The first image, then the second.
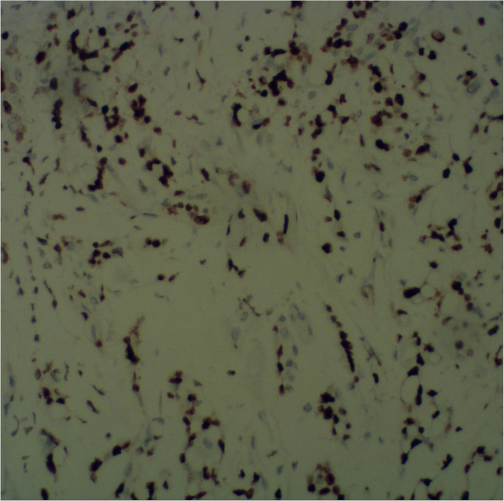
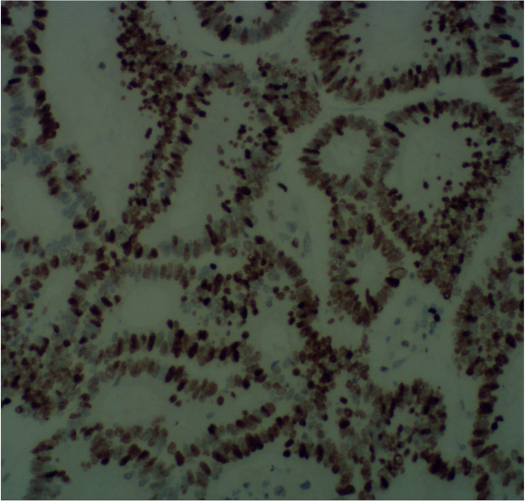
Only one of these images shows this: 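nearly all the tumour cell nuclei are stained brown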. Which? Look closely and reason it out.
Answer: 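First image: brown-stained nuclei are scattered among unstained cells in loose tissue.
Conclusion: the second image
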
